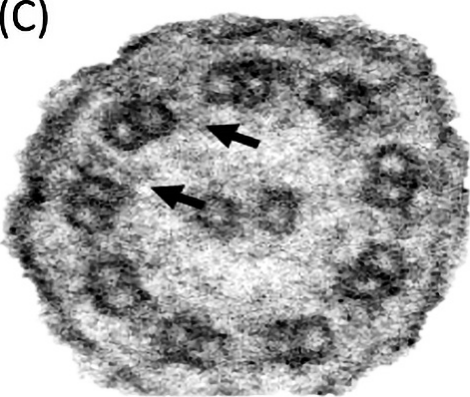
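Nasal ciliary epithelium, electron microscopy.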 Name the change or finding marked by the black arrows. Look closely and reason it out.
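A round cross-section with a ring of paired microtubule profiles around its edge. Two arrows point at the inner side of peripheral doublets. No arm-like projections are visible on the doublets where the arrows point.
Absence of inner dynein arm.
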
